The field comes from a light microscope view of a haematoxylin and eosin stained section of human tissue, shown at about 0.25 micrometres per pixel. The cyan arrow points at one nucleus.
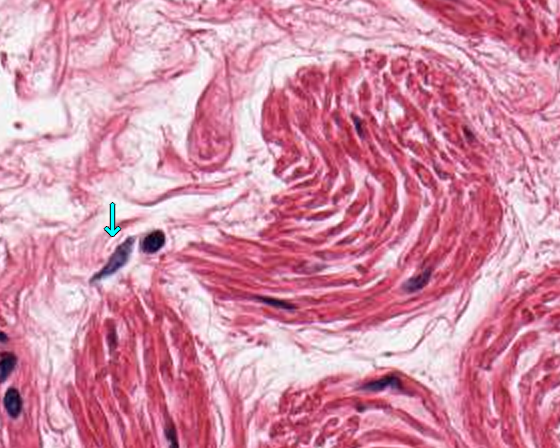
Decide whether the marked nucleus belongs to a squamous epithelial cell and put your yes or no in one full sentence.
No, the marked nucleus sits in a supporting cell; a squamous epithelial cell does not contain it.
